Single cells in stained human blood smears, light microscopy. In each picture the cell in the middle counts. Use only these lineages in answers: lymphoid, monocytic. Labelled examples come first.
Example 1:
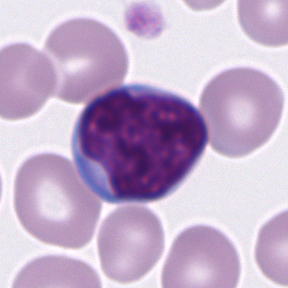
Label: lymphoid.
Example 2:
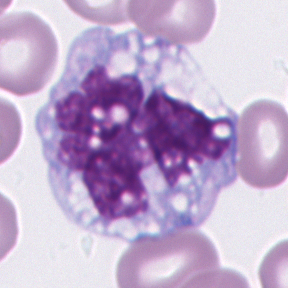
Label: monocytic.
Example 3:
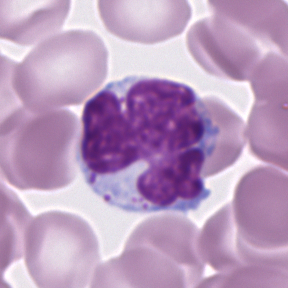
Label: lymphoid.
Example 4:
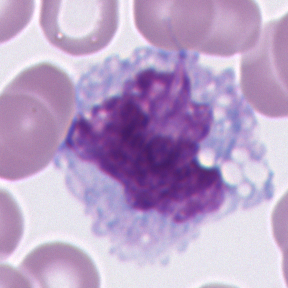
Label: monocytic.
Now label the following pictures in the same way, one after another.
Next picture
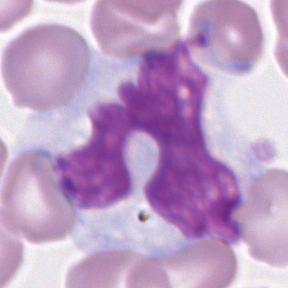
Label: monocytic.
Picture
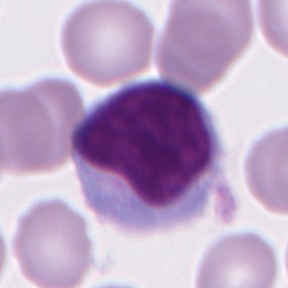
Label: lymphoid.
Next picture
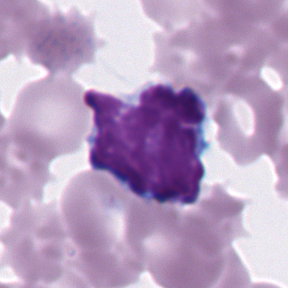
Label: lymphoid.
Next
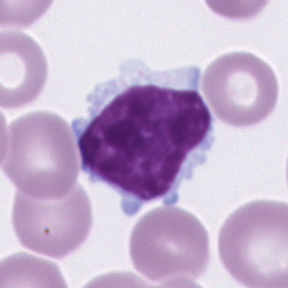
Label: lymphoid.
